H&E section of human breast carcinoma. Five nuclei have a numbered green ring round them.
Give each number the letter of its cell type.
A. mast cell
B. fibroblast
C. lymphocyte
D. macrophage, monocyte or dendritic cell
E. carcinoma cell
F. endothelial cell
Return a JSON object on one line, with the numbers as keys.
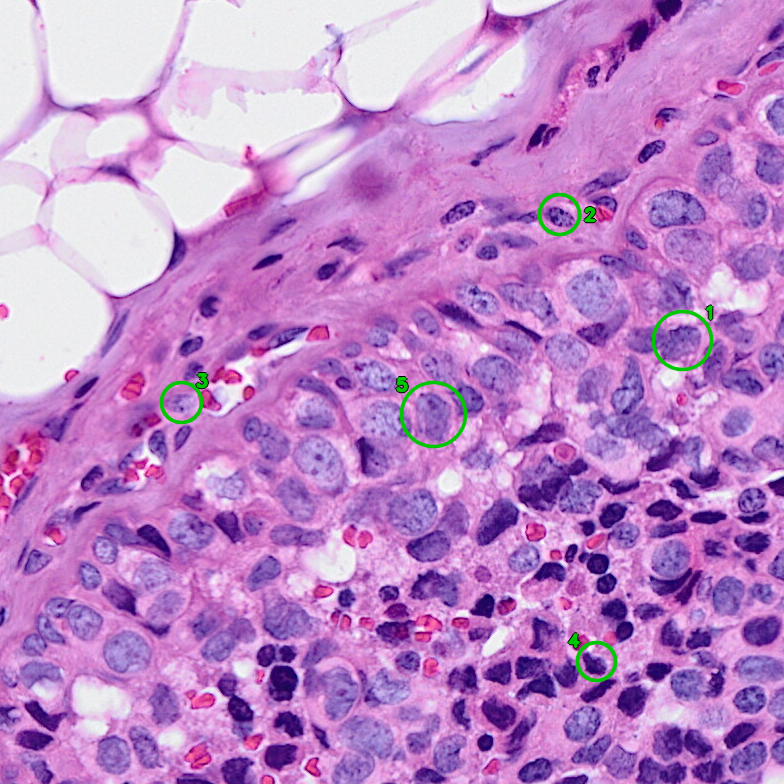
{"1": "E", "2": "A", "3": "F", "4": "E", "5": "E"}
